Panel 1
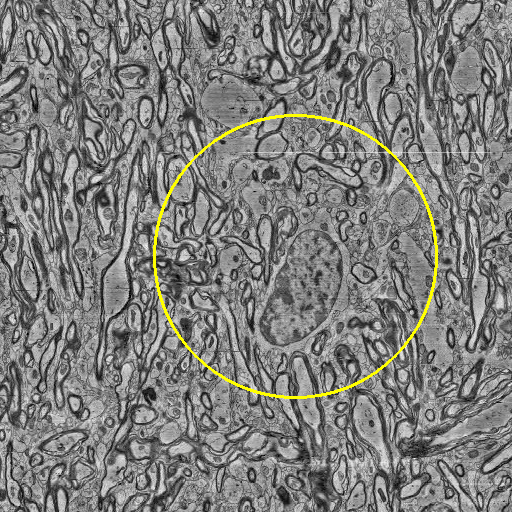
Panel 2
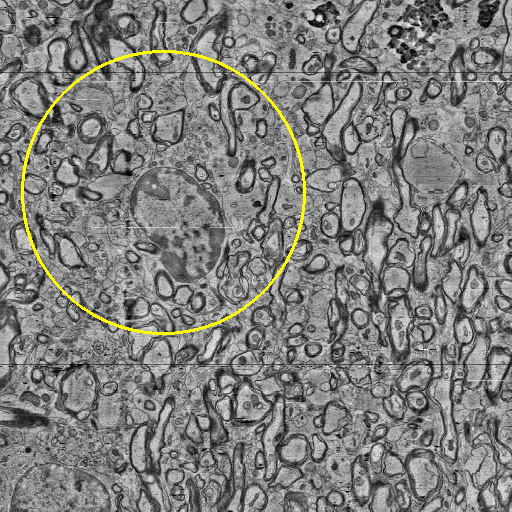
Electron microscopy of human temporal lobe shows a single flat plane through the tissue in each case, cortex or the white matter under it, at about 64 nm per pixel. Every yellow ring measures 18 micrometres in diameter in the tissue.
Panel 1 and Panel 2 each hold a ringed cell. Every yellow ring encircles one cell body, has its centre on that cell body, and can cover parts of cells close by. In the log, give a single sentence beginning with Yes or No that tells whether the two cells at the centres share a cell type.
Yes, in Panel 1 and Panel 2 the centred cells share a cell type.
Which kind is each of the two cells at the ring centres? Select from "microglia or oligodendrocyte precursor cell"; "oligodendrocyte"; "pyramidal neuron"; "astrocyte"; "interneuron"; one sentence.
Each of the two pictures has a microglial cell or oligodendrocyte precursor cell at the ring centre.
